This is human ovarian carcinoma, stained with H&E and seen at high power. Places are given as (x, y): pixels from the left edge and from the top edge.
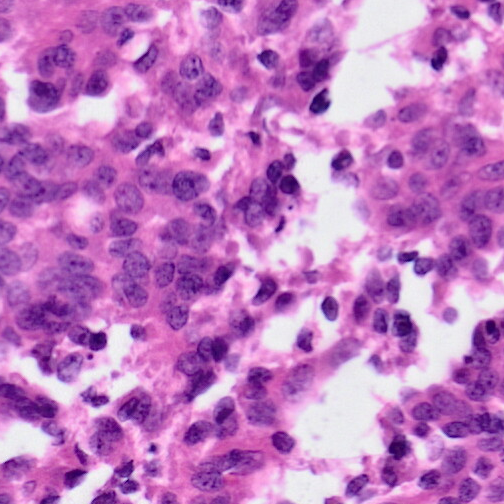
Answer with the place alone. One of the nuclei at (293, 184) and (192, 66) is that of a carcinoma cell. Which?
(293, 184)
